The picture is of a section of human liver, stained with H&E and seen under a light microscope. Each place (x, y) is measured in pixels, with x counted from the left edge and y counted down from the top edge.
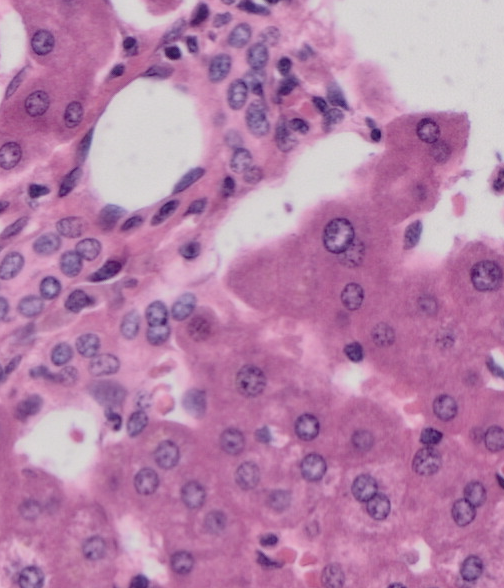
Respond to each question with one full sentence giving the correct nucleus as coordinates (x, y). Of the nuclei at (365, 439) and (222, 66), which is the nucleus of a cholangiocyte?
Of the two nuclei, the nucleus of a cholangiocyte is at (222, 66).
